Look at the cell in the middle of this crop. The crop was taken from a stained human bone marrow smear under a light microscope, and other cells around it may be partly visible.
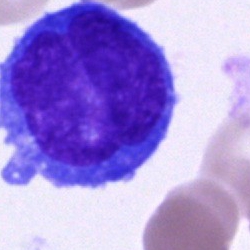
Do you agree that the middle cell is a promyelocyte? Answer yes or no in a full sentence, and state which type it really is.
No, in the centre of the crop lies a blast, not a promyelocyte.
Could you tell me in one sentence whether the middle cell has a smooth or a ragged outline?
Around its circumference, the cell has an uneven edge, ragged or projecting in places.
